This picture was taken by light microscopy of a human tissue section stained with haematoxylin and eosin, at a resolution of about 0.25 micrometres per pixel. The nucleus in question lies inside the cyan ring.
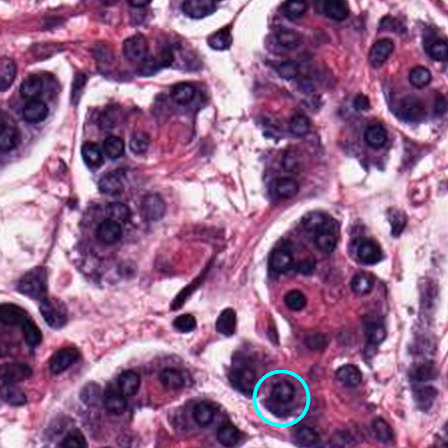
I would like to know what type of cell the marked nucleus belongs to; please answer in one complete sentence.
The nucleus singled out by the mark belongs to a pancreatic acinar cell.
